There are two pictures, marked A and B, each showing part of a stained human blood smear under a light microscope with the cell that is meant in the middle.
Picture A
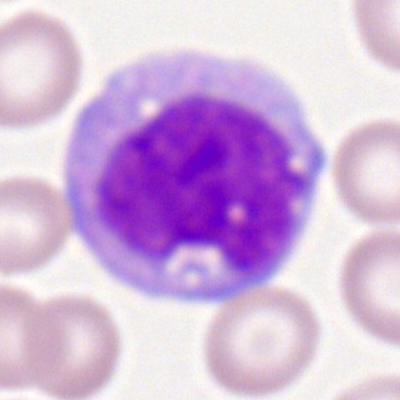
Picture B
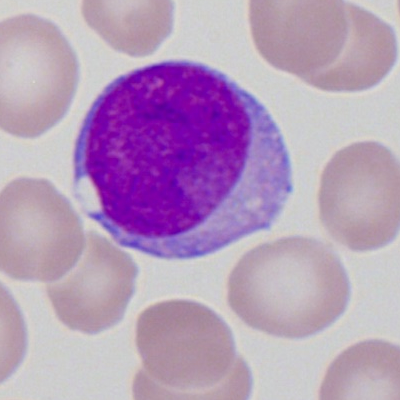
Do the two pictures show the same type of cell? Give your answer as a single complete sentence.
No, the types are not the same, since picture A shows a monocyte and picture B a myeloblast.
